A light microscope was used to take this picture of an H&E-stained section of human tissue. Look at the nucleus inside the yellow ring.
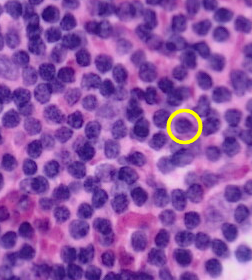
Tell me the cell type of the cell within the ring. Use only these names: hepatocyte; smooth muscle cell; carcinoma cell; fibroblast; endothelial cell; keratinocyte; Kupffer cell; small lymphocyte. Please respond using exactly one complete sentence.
It is as a small lymphocyte that the cell within the ring is recorded.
